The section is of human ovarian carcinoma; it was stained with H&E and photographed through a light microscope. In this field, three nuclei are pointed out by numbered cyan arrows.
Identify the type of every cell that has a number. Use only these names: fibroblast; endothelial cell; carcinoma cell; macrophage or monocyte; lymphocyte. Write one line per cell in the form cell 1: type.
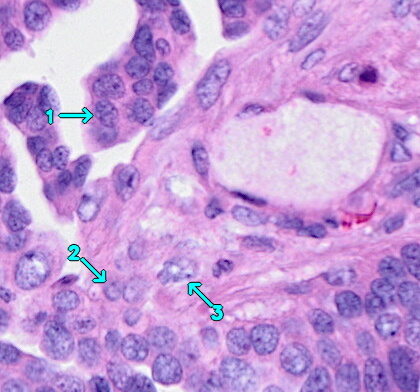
cell 1: carcinoma cell
cell 2: fibroblast
cell 3: fibroblast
